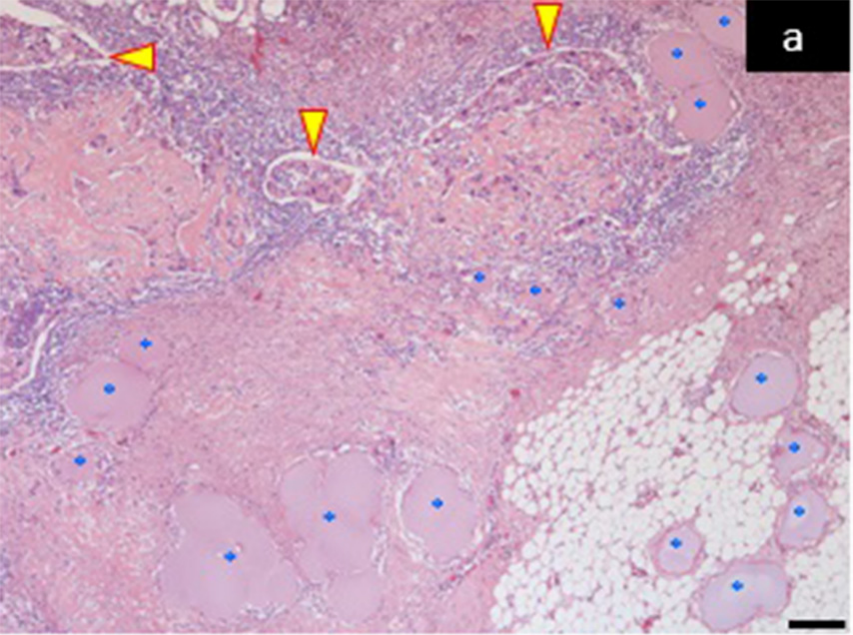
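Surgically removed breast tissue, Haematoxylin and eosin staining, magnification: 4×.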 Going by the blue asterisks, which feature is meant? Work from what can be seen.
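The asterisks mark round, homogeneous, pale lavender bodies without cells. Many such round bodies are scattered through fibrous tissue and fat.
Conclusion: lavender-coloured spherical particles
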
